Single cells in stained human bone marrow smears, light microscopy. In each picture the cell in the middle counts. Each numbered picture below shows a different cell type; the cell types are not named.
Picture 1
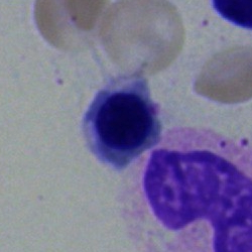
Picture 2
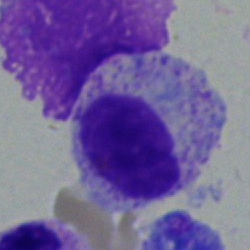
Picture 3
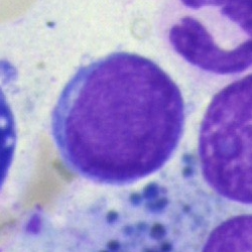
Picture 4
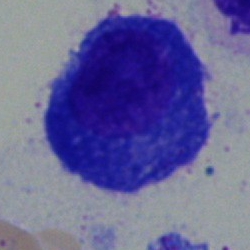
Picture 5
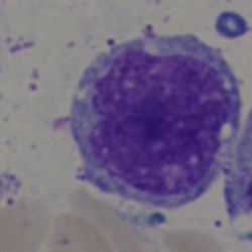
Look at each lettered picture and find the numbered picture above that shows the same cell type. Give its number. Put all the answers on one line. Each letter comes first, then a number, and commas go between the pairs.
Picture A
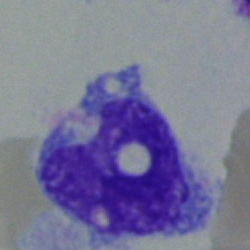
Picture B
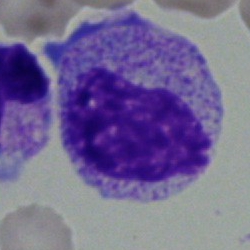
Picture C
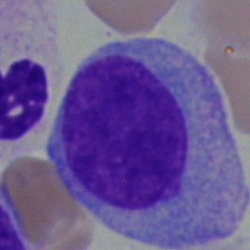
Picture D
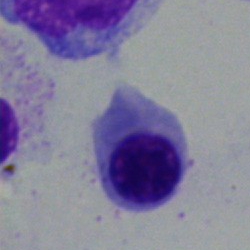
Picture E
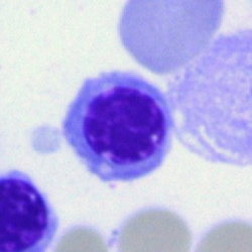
A 5, B 2, C 3, D 1, E 1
